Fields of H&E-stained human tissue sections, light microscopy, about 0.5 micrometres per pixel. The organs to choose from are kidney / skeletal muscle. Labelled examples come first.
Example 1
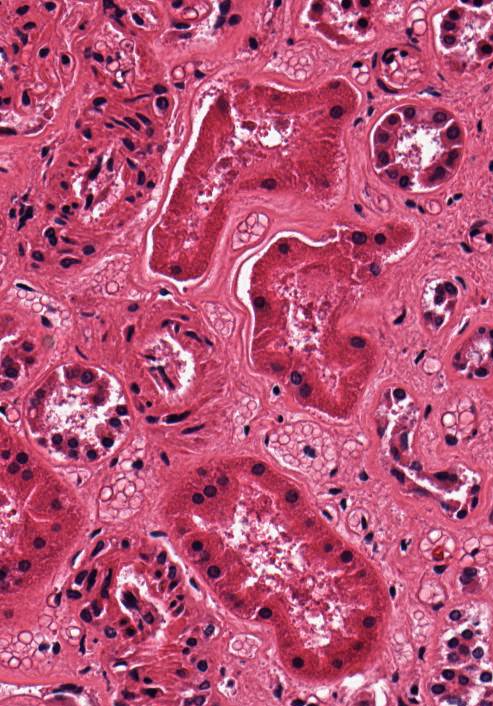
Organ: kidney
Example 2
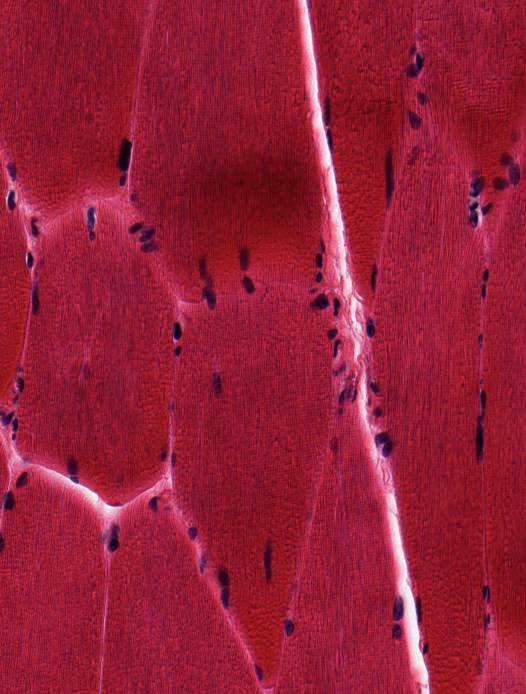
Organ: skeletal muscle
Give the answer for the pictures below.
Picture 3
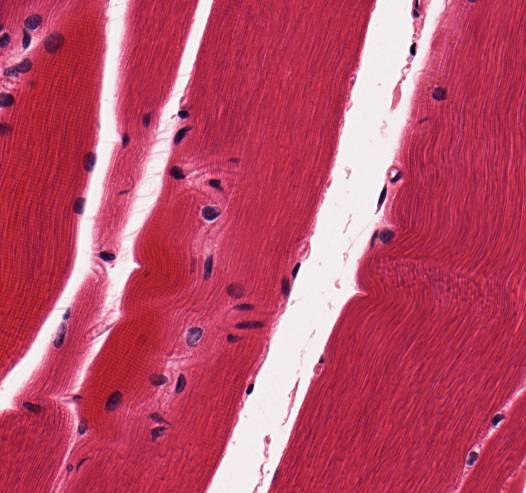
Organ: skeletal muscle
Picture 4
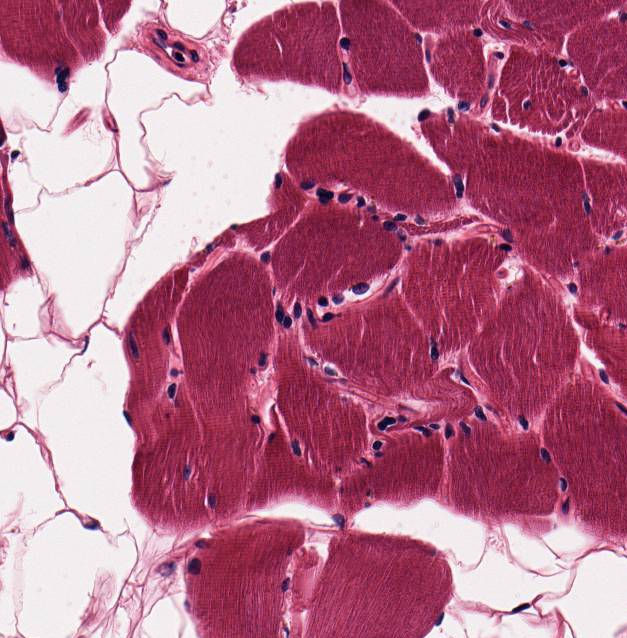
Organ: skeletal muscle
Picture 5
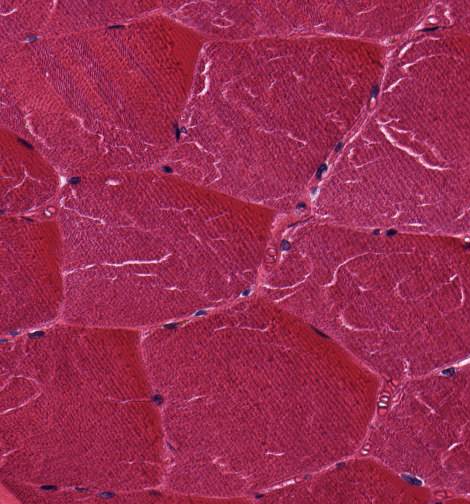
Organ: skeletal muscle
